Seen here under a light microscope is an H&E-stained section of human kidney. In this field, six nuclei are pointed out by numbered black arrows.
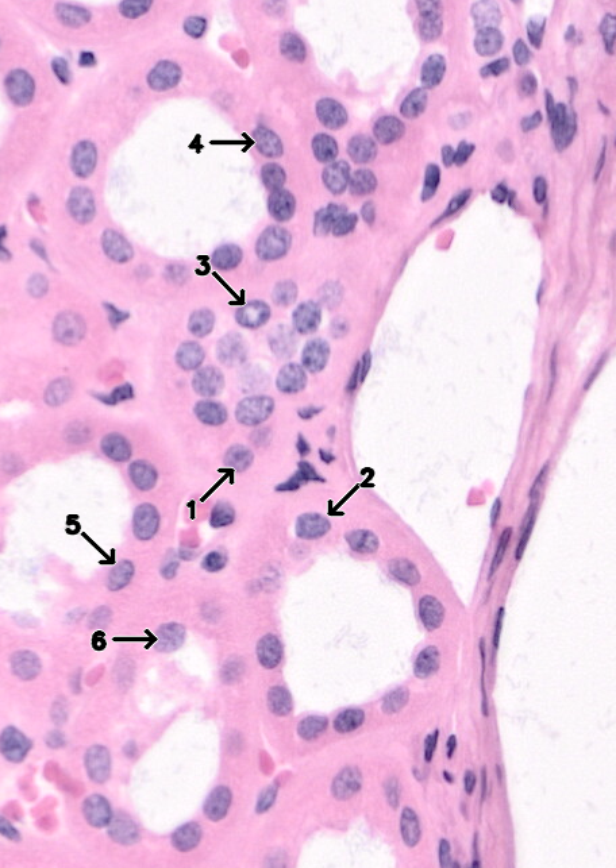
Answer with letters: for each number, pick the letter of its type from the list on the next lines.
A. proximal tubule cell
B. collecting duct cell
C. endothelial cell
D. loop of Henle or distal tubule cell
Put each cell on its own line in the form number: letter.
1: D
2: D
3: B
4: B
5: D
6: D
